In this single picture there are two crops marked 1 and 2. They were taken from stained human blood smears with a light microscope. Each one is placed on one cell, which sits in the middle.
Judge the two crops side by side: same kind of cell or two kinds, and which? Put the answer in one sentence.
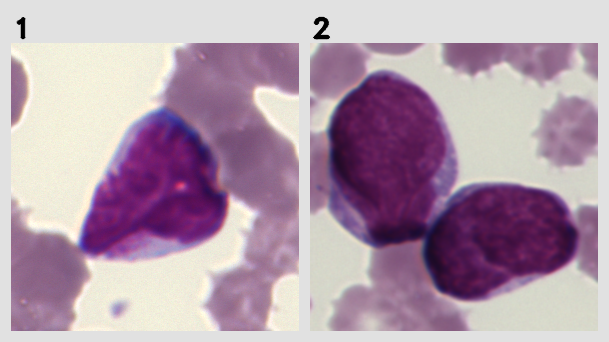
Yes, both crops show blasts, and nothing else needs adding.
